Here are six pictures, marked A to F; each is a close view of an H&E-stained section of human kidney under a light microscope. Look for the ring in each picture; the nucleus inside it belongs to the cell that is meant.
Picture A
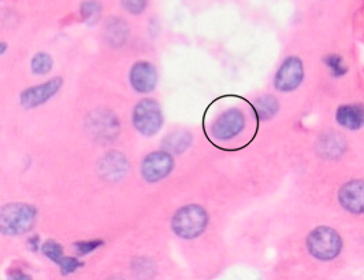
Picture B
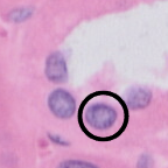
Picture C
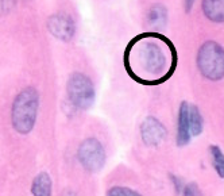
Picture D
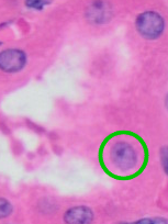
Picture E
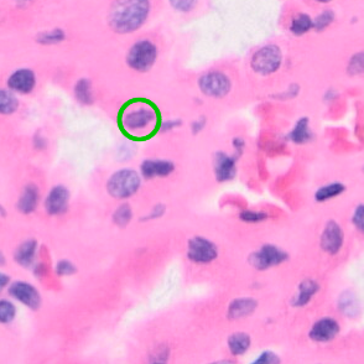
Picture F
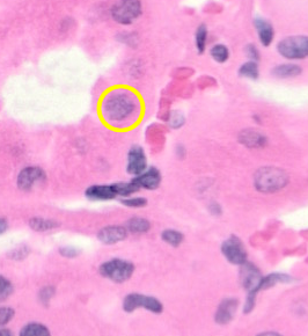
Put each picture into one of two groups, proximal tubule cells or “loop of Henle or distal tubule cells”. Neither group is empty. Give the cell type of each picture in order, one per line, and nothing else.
loop of Henle or distal tubule cell
loop of Henle or distal tubule cell
loop of Henle or distal tubule cell
proximal tubule cell
loop of Henle or distal tubule cell
proximal tubule cell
